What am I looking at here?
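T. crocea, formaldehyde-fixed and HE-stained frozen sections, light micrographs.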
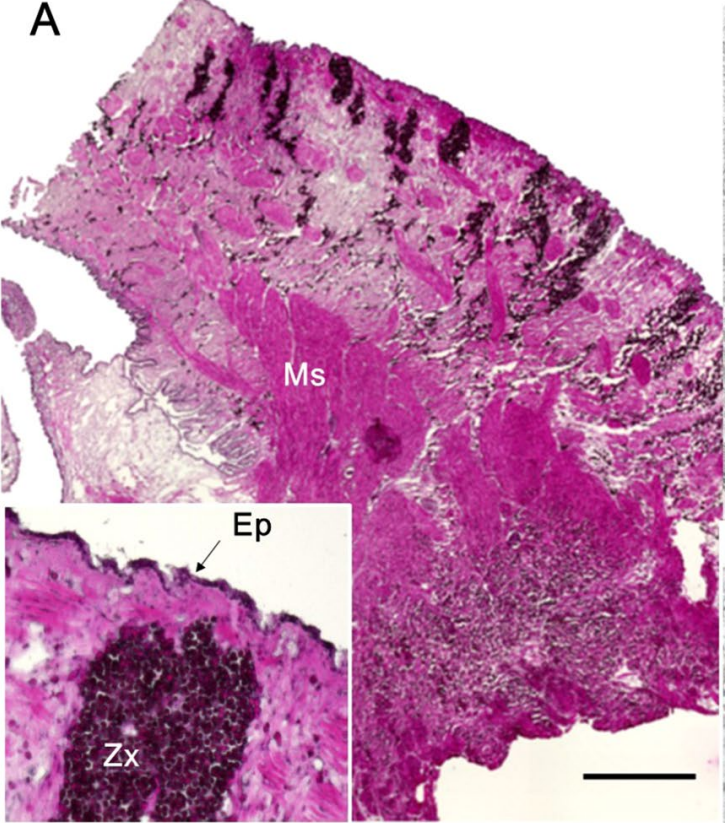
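This low-power view of the mantle shows dark purple clusters of zooxanthellae lying in streaks just under the surface, with a broad mass of deep pink muscle below. In the higher-magnification insert, a thin dark epithelium covers the surface, and beneath it lies a dense, rounded aggregate of small dark purple cells set in paler pink tissue.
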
